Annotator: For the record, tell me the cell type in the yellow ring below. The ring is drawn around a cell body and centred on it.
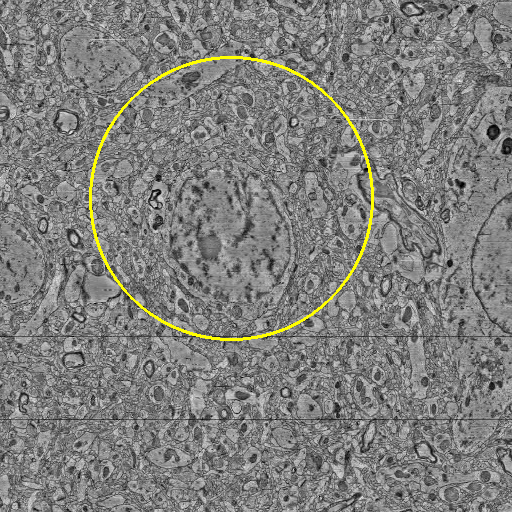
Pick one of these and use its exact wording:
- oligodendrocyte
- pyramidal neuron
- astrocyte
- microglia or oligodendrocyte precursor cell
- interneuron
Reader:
interneuron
